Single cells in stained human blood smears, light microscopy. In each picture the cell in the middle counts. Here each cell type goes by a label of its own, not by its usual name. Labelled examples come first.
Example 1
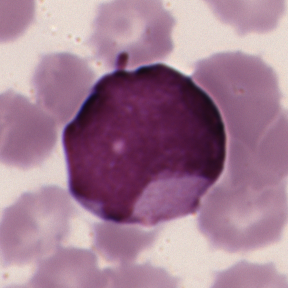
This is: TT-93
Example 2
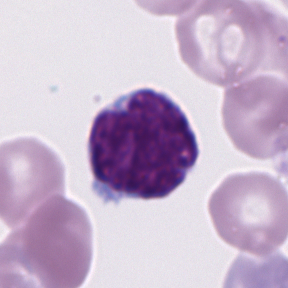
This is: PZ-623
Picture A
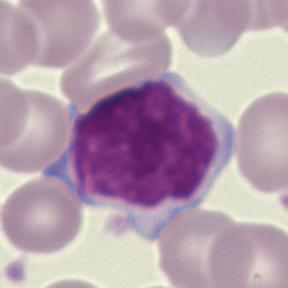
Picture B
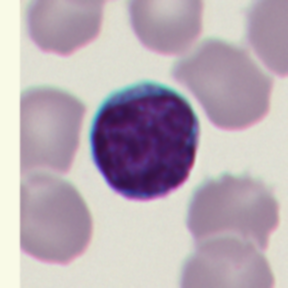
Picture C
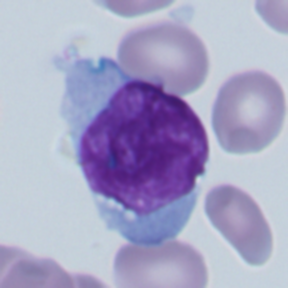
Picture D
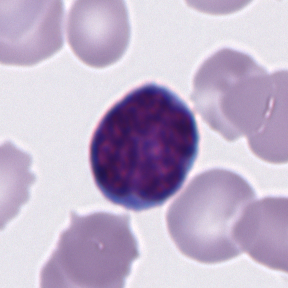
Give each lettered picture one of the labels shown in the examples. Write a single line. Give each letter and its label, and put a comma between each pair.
A PZ-623, B PZ-623, C TT-93, D PZ-623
